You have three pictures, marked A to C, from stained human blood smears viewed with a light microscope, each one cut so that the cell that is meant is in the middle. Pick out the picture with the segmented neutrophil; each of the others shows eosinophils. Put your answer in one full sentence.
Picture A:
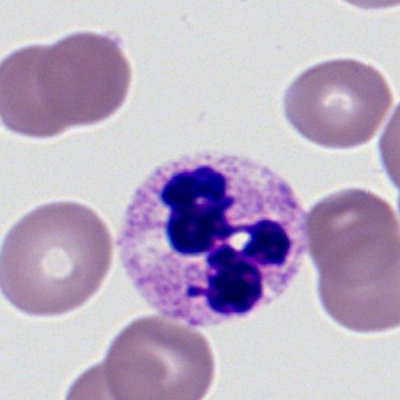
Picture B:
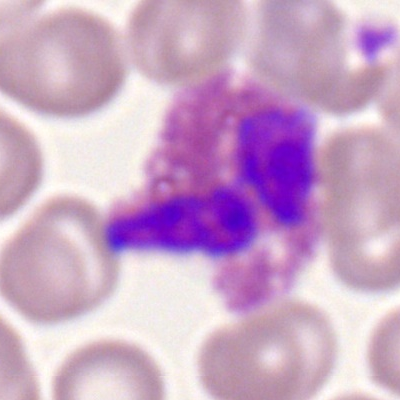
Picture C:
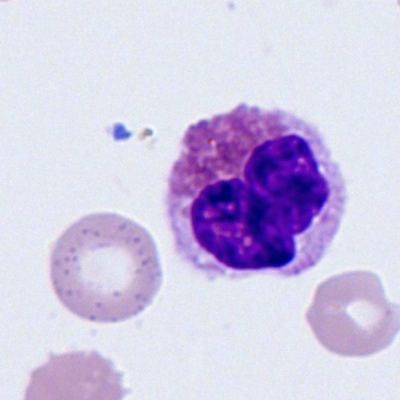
The cell in picture A is the segmented neutrophil.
